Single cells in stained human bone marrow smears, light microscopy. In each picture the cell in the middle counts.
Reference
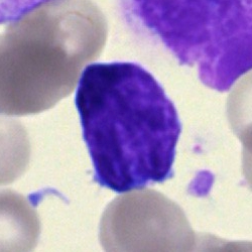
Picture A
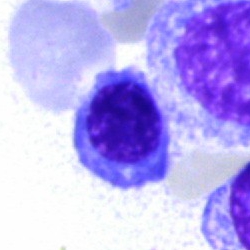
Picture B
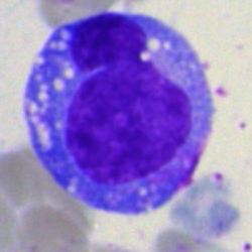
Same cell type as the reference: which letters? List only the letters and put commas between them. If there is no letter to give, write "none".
B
